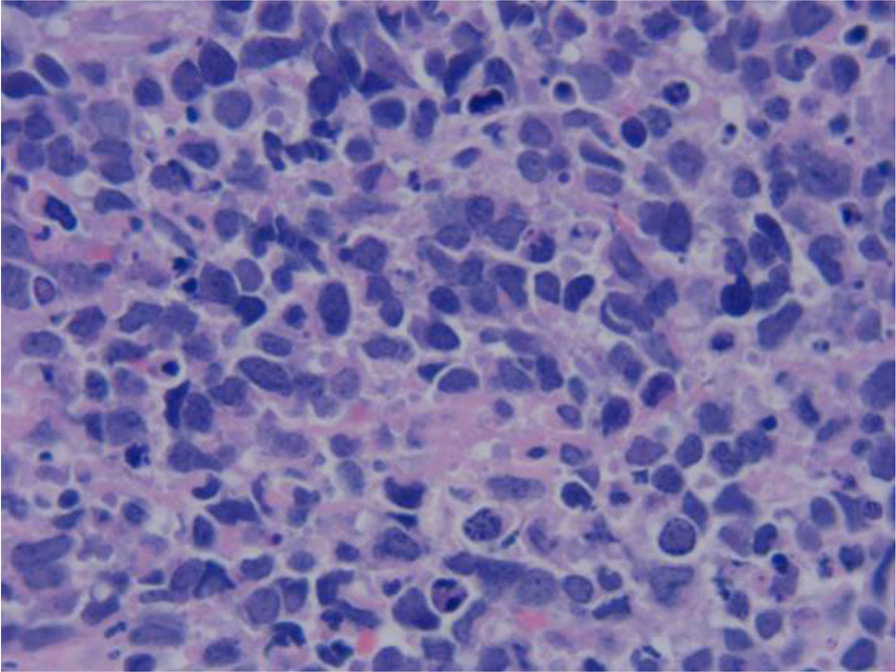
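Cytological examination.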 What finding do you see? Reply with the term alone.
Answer: Reduced cytoplasm.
